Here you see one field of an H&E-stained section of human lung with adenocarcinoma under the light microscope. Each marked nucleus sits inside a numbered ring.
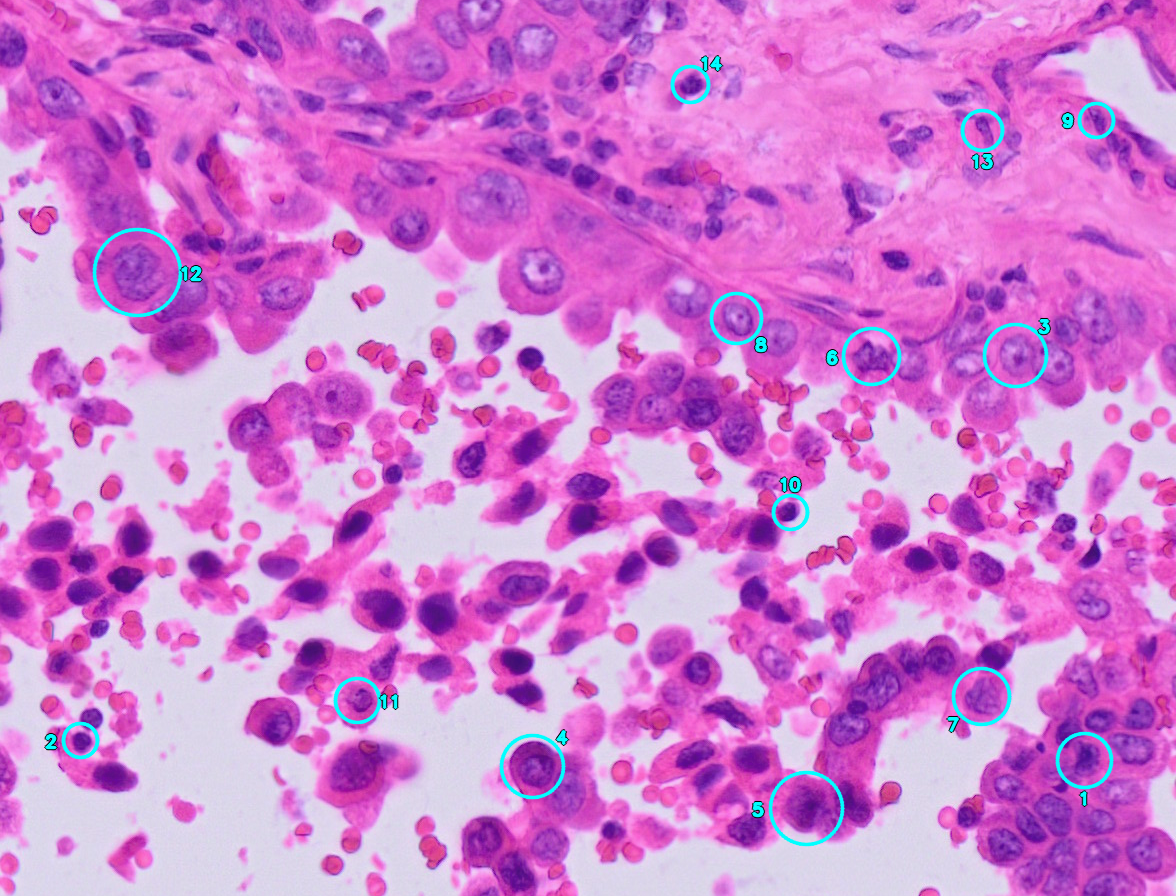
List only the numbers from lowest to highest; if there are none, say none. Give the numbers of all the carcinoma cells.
1, 3, 4, 5, 6, 7, 8, 12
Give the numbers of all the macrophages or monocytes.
11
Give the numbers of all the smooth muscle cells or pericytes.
9, 13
